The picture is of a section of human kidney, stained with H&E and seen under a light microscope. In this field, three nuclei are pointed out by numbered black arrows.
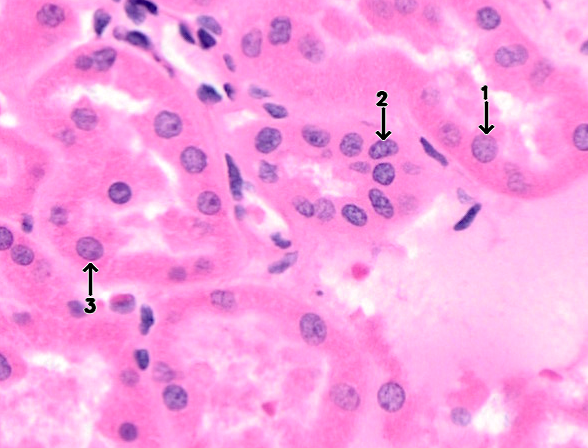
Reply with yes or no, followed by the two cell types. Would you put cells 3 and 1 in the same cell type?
Yes, both cells 3 and 1 are proximal tubule cells.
